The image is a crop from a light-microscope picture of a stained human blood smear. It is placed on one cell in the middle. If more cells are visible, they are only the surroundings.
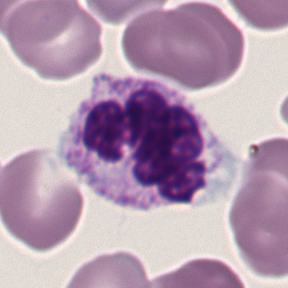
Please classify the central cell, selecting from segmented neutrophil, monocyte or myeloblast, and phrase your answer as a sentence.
In the crop, the cell of interest at the centre is a segmented neutrophil.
